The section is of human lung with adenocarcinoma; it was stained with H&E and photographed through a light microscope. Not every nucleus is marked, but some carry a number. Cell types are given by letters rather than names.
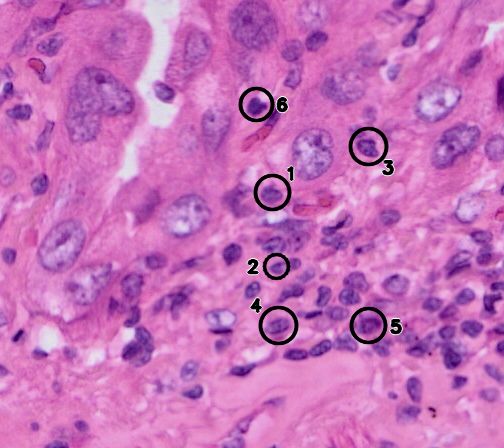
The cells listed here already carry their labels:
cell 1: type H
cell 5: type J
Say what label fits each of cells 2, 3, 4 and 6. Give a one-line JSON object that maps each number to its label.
{"2": "type H", "3": "type H", "4": "type J", "6": "type H"}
